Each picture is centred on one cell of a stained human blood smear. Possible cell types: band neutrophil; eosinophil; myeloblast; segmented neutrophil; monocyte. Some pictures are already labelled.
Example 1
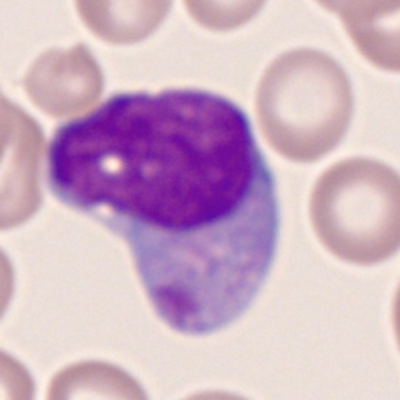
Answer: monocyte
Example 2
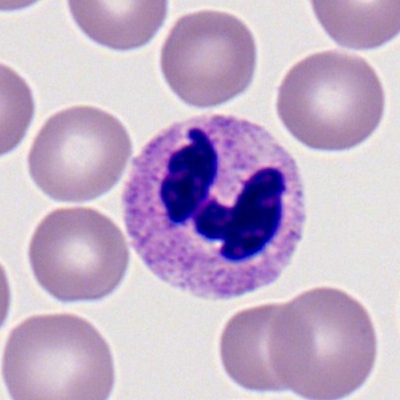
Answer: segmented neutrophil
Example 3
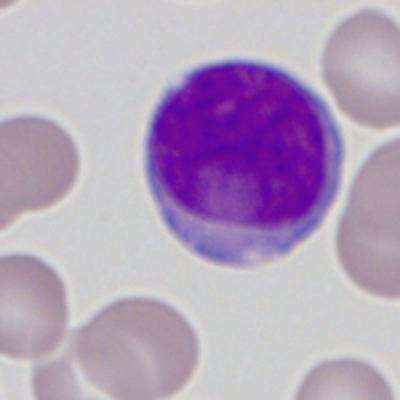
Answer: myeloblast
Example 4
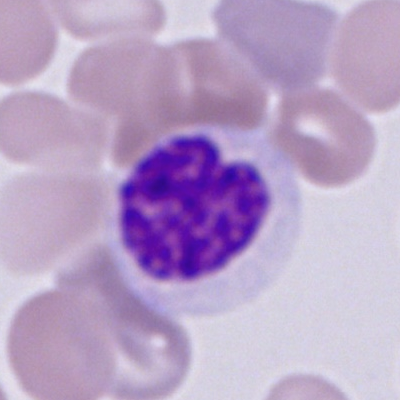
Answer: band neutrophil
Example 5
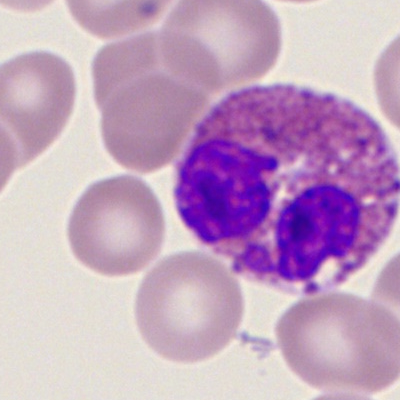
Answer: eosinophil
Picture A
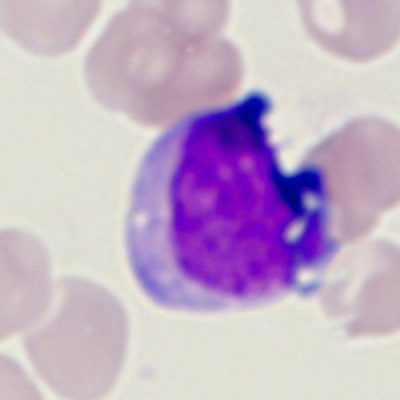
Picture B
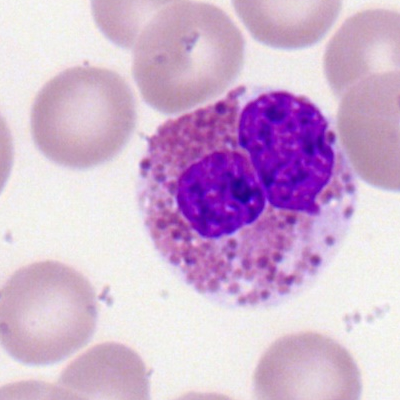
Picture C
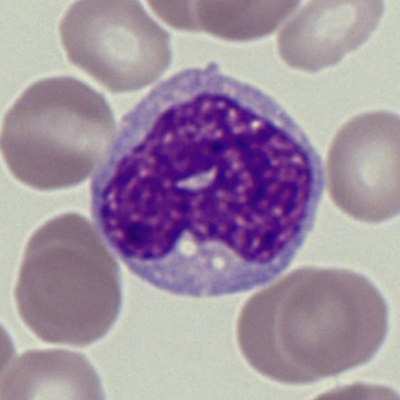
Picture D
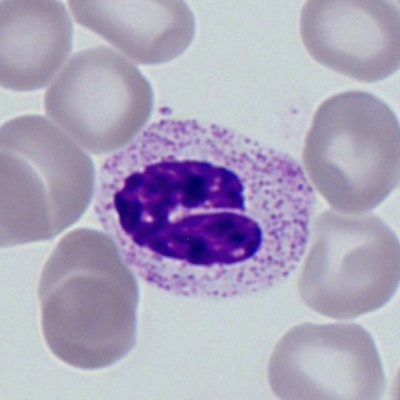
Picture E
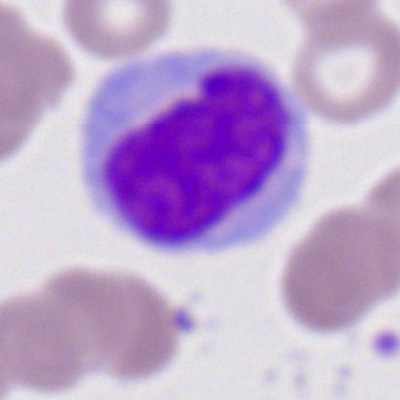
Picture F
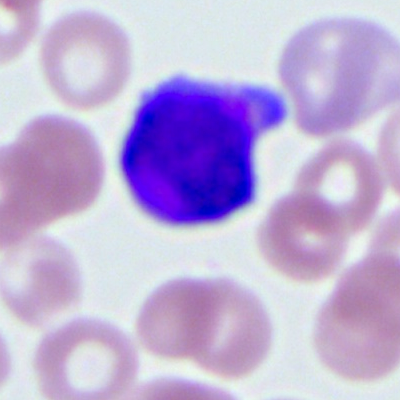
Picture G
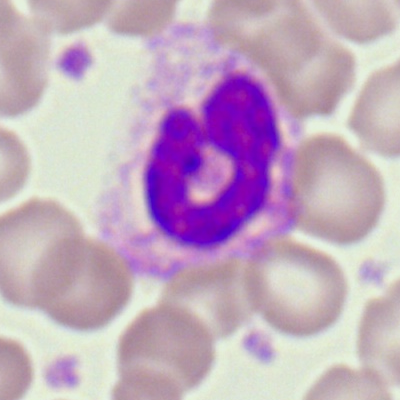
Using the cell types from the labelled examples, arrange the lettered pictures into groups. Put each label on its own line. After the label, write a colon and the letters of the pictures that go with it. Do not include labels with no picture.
band neutrophil: D, G
eosinophil: B
myeloblast: A, F
monocyte: C, E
